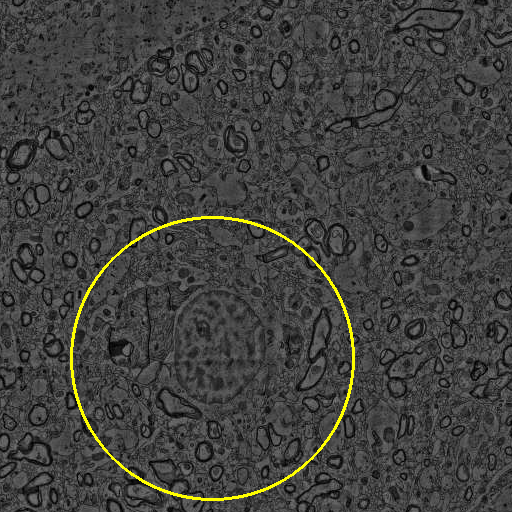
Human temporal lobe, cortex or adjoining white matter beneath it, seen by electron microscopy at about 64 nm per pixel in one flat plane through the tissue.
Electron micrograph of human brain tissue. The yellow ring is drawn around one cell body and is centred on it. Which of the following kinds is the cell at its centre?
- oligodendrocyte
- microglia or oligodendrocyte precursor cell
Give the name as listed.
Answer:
oligodendrocyte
